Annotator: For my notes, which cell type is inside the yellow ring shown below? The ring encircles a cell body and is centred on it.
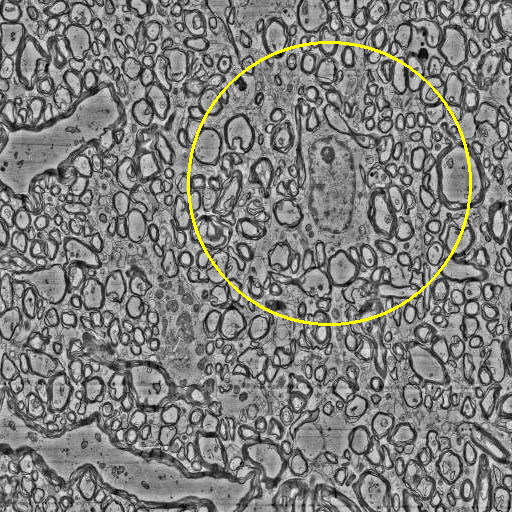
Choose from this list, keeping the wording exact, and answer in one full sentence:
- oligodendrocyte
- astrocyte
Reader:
At the centre of the yellow ring there is an astrocyte, as shown in the picture.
